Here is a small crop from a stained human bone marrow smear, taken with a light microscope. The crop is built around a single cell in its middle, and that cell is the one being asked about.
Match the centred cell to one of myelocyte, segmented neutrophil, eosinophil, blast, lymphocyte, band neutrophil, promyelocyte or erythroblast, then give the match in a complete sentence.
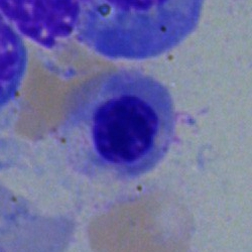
The cell at the central position in this crop is an erythroblast.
